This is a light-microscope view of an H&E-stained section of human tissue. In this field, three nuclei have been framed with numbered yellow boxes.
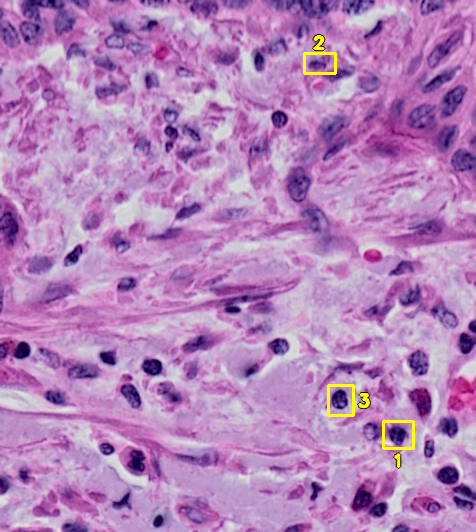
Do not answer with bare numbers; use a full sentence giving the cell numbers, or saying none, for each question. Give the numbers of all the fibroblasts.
In this set of numbered cells, only cell 2 is a fibroblast.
